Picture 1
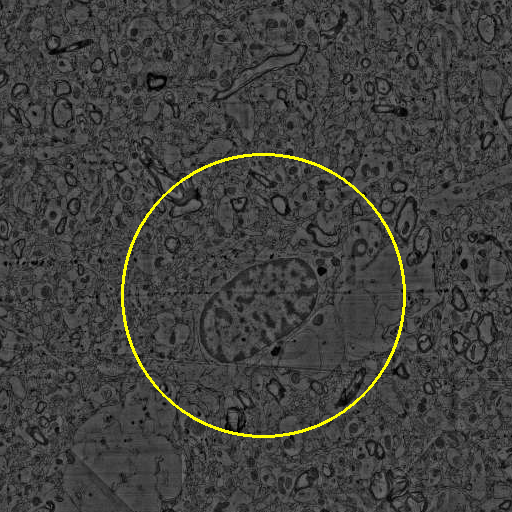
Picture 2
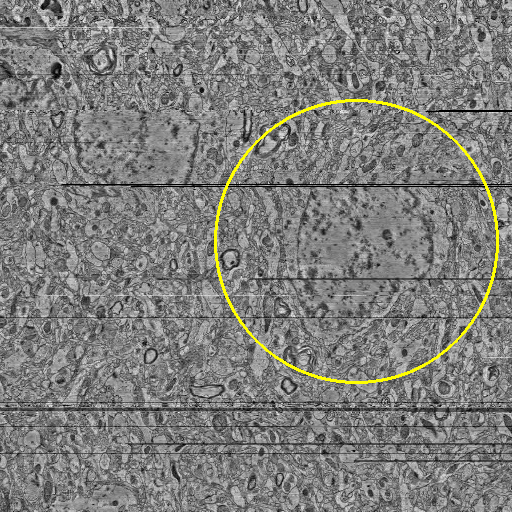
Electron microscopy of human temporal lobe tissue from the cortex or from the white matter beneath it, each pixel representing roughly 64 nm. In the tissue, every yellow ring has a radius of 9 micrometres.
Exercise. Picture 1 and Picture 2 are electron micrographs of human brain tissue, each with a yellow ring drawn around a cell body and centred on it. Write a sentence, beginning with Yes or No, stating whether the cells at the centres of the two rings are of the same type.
No, the cells at the centres of the rings are of two types.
